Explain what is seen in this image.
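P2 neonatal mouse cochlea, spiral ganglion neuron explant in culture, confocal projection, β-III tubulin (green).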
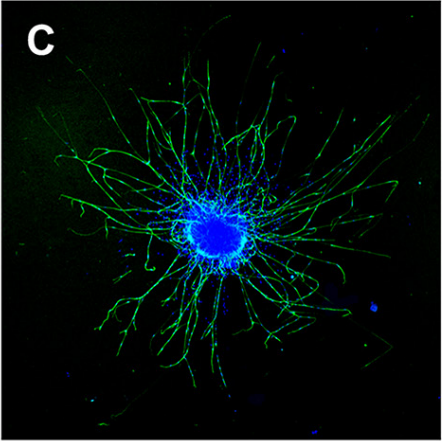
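A small, dense blue mass sits at the centre of the field, with numerous fine green threads radiating out from it in all directions like a starburst. The threads are thin and long, many branching once or several times and tapering toward their free ends far from the centre. Close to the mass the threads are crowded and overlapping, while further out they become sparse and individually traceable against a dark background.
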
